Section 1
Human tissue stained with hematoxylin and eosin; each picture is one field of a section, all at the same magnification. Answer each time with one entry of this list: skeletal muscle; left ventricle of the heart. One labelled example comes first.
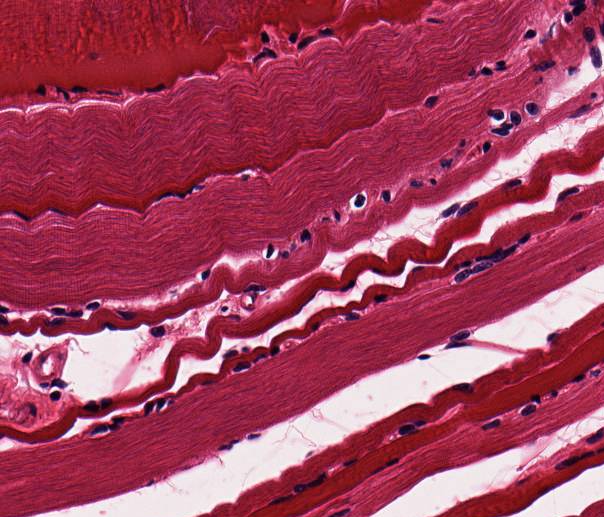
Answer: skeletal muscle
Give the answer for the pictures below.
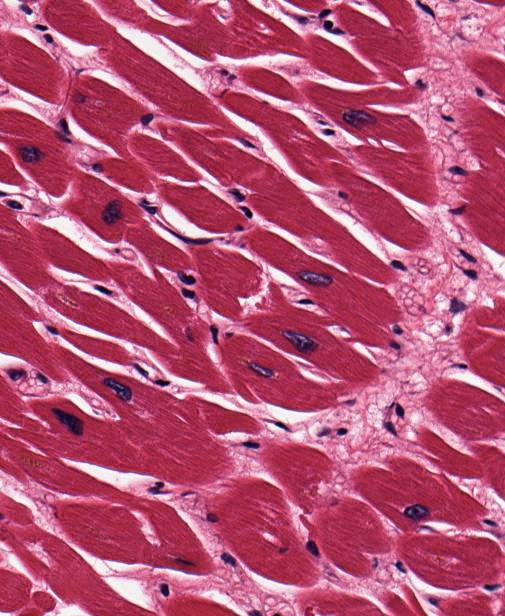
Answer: left ventricle of the heart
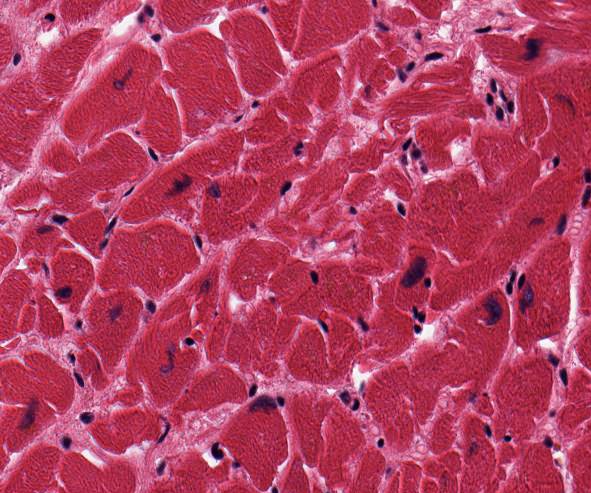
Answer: left ventricle of the heart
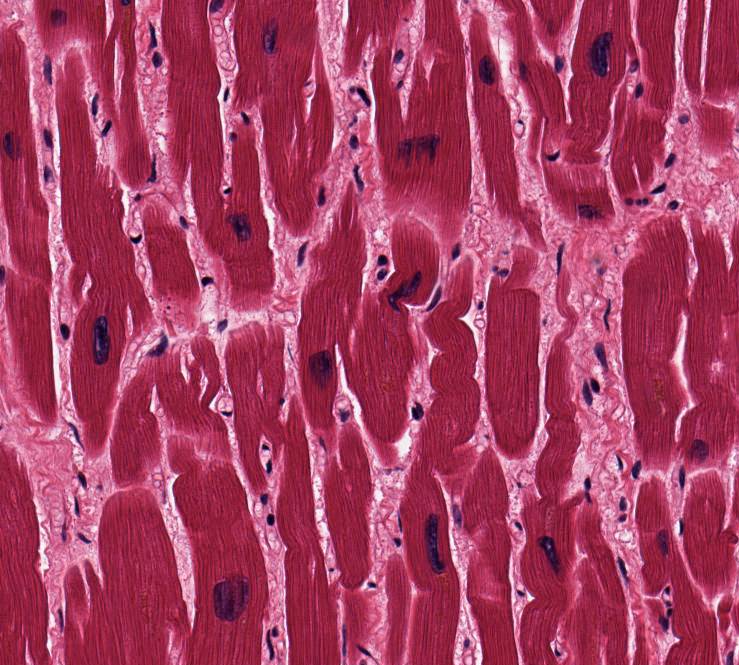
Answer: left ventricle of the heart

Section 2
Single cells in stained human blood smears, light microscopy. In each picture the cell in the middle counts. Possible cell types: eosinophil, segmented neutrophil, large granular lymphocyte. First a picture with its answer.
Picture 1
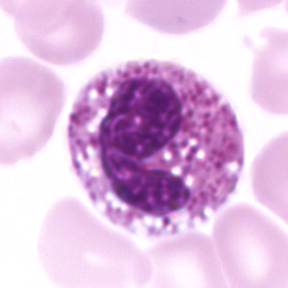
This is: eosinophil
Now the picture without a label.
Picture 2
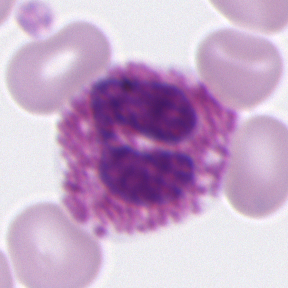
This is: eosinophil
